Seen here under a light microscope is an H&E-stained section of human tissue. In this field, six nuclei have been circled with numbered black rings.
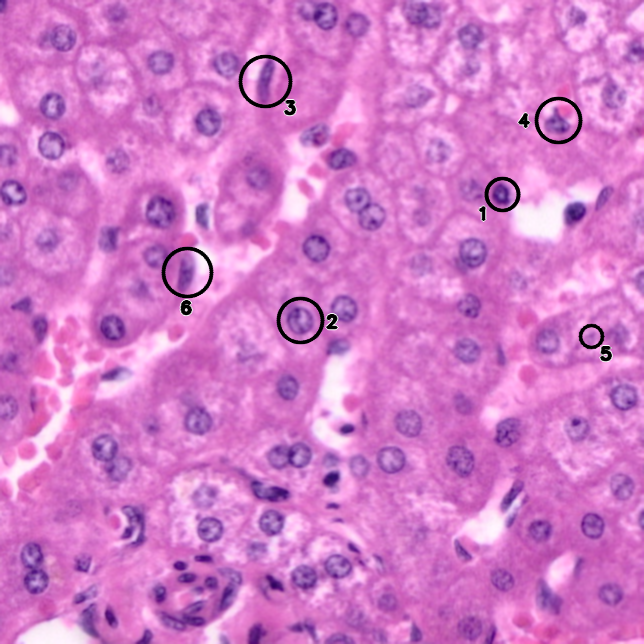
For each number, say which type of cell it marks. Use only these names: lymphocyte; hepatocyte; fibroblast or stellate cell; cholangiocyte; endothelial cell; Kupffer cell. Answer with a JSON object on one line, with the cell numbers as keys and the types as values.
{"1": "fibroblast or stellate cell", "2": "hepatocyte", "3": "Kupffer cell", "4": "endothelial cell", "5": "hepatocyte", "6": "Kupffer cell"}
